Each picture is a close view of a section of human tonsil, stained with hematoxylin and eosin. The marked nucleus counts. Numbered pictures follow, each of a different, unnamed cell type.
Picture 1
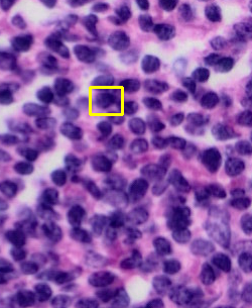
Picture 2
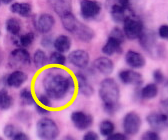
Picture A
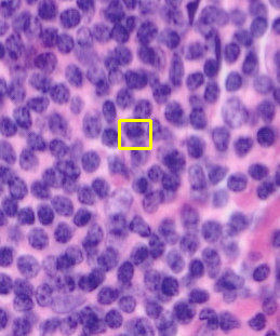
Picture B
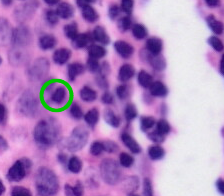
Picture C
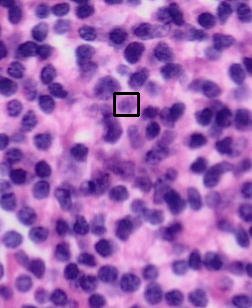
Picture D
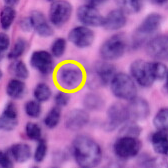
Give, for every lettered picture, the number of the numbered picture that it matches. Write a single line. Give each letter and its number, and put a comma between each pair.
A 1, B 2, C 2, D 2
